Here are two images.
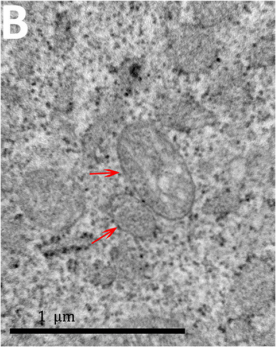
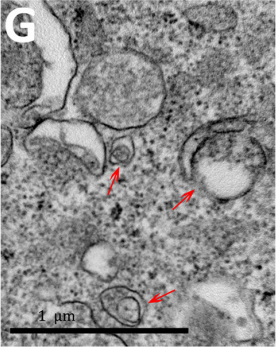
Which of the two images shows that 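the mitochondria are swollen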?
The second image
